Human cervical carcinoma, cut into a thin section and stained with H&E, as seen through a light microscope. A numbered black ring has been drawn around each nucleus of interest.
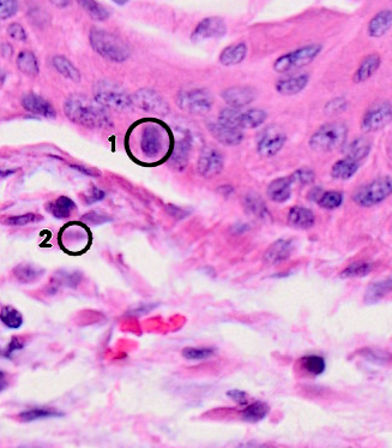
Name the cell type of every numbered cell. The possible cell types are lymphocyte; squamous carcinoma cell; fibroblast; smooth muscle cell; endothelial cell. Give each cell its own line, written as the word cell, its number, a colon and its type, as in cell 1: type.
cell 1: squamous carcinoma cell
cell 2: fibroblast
